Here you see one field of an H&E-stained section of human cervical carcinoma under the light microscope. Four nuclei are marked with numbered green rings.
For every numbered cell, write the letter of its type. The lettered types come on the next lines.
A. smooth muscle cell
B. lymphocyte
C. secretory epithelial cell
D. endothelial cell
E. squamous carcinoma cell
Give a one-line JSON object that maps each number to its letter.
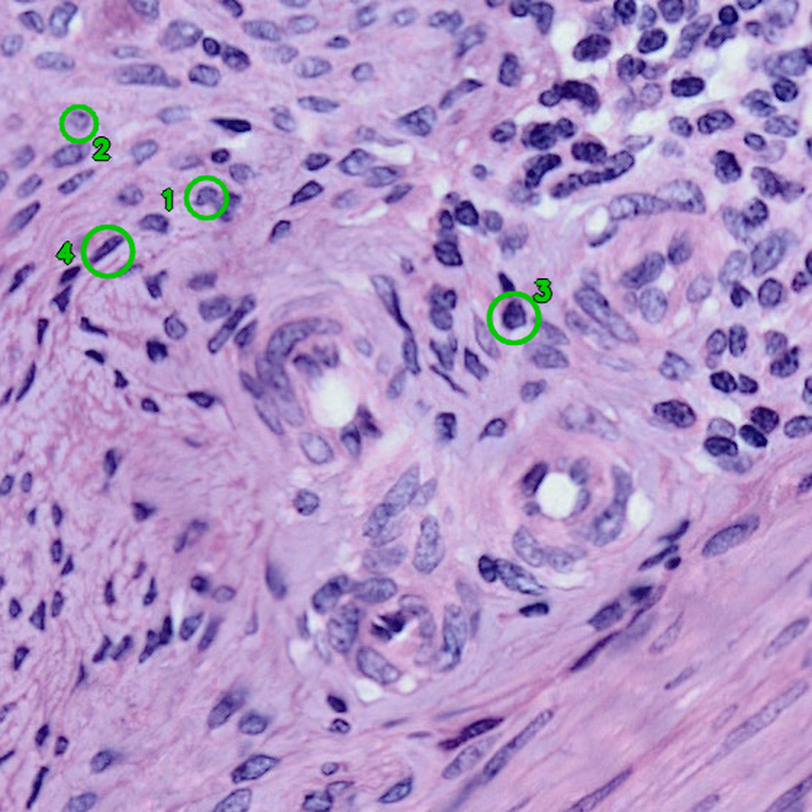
{"1": "A", "2": "A", "3": "B", "4": "A"}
